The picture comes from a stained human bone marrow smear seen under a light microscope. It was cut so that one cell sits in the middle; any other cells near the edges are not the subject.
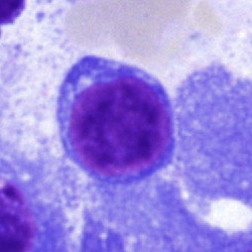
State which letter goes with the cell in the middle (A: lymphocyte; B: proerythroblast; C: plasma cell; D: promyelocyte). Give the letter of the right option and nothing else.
A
